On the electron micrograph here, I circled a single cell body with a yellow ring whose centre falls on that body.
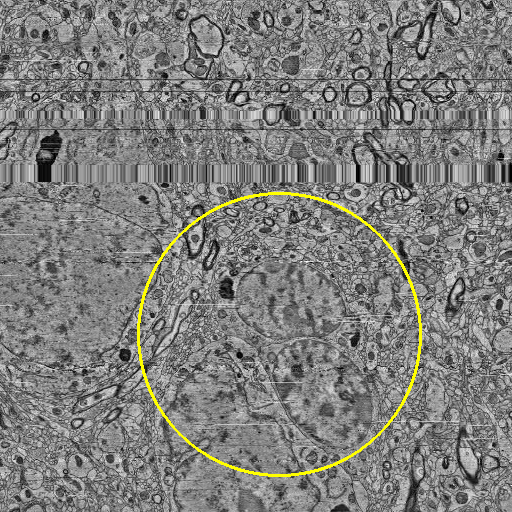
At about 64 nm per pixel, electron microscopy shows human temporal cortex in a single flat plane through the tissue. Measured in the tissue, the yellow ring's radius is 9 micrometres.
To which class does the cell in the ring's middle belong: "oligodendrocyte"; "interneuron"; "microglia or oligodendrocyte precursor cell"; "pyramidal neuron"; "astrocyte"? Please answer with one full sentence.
In this picture, the cell body circled at the ring's centre belongs to an oligodendrocyte.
